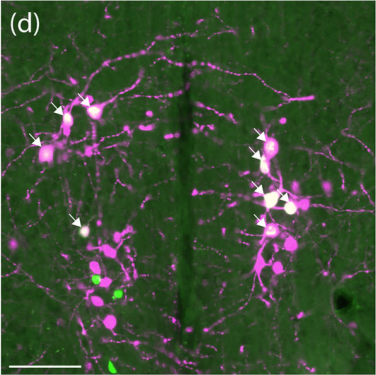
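Neurons in the brain are seen as two bilateral clusters of magenta cell bodies on either side of a thin vertical midline gap. The somata are round to oval and give off thin, branching, beaded processes that form a loose meshwork across the field.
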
